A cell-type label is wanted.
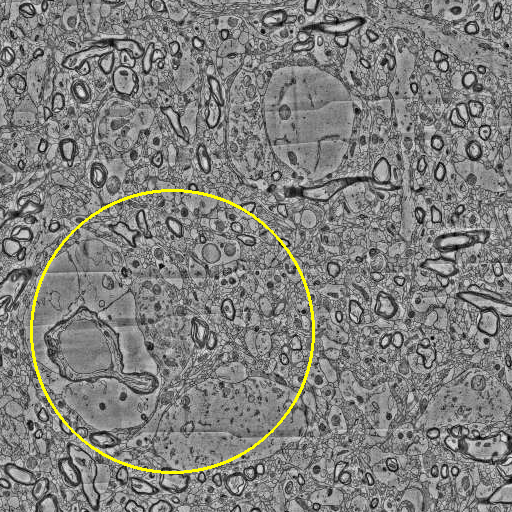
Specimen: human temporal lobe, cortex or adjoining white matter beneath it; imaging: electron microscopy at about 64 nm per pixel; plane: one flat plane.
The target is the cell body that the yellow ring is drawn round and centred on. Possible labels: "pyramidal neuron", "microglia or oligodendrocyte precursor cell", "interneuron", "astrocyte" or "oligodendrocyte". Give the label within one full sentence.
Of the labels offered, the cell in the middle of the yellow ring is an oligodendrocyte.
